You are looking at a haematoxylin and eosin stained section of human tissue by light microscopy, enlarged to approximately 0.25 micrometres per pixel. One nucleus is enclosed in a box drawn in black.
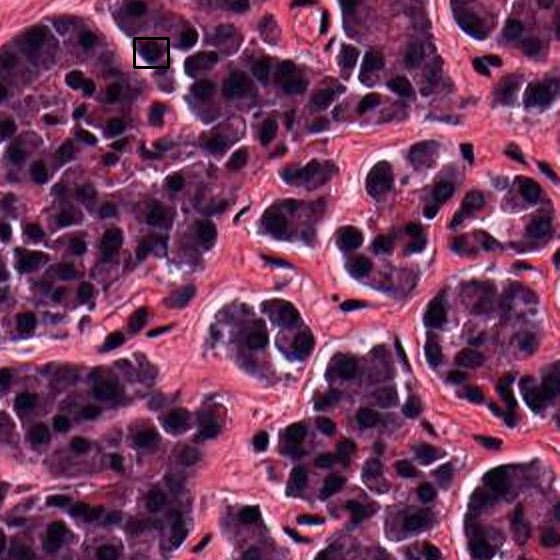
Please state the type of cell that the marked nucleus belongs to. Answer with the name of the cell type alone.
pancreatic acinar cell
